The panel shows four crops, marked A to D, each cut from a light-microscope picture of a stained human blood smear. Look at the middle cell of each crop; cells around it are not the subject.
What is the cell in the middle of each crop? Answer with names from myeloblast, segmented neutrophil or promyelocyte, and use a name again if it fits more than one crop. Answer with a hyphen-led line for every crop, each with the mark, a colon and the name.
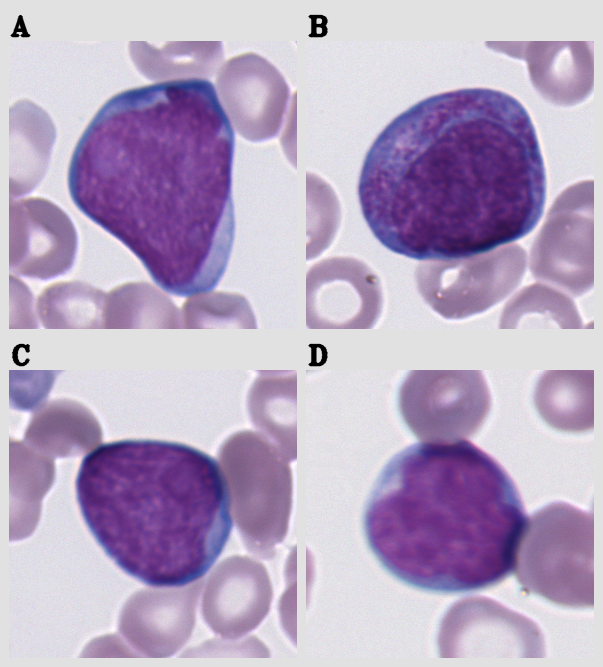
- A: myeloblast
- B: promyelocyte
- C: myeloblast
- D: myeloblast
